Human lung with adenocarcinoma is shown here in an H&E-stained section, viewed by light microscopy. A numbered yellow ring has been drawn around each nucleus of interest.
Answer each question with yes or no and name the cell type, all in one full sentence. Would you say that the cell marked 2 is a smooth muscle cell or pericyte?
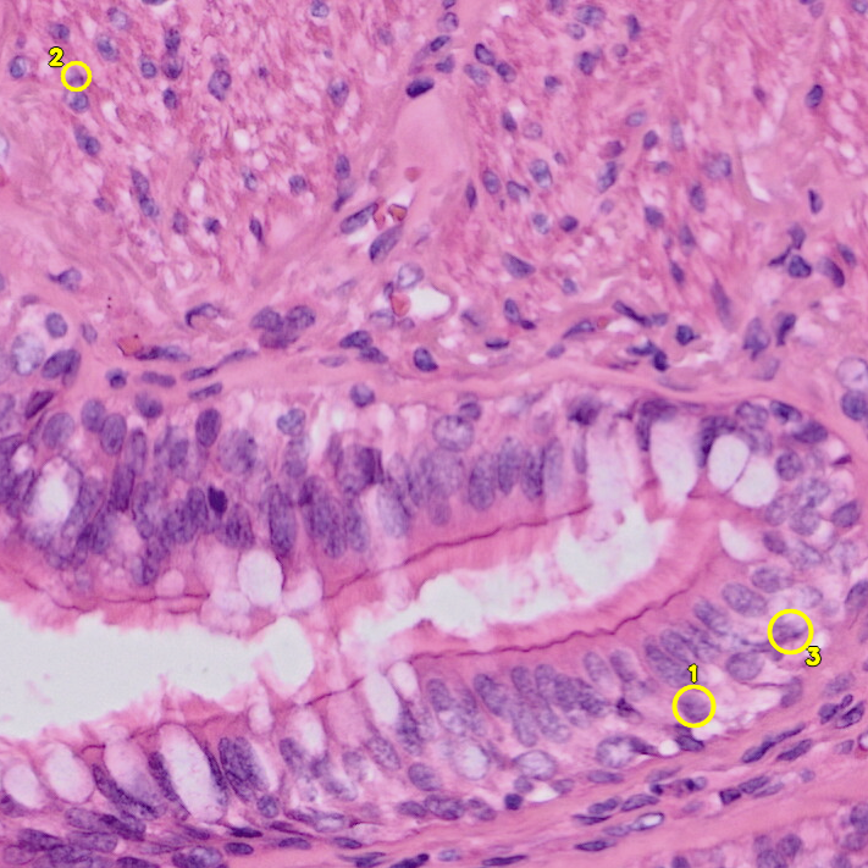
Yes, the one numbered 2 is a smooth muscle cell or pericyte.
